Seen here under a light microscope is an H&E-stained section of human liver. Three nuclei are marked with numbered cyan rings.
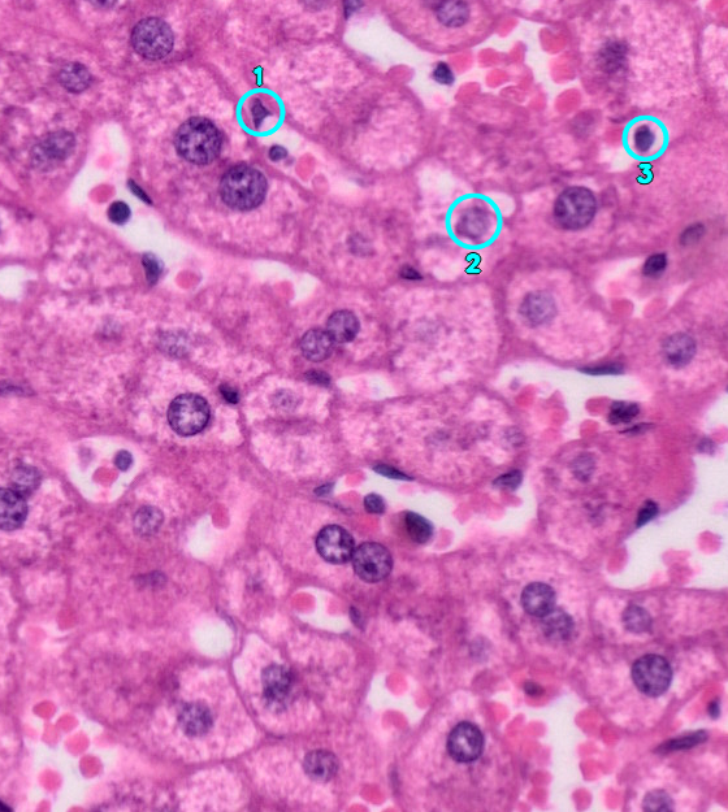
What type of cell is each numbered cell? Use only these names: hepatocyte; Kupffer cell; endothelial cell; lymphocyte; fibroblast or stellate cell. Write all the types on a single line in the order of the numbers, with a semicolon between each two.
endothelial cell; hepatocyte; lymphocyte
